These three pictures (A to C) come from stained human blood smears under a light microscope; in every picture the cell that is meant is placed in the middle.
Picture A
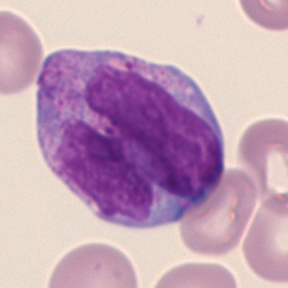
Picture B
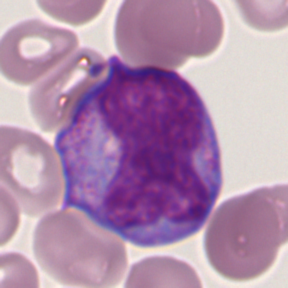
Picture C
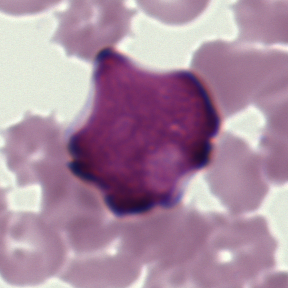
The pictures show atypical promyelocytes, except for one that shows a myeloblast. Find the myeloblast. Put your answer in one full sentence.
The myeloblast is the one in picture C.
